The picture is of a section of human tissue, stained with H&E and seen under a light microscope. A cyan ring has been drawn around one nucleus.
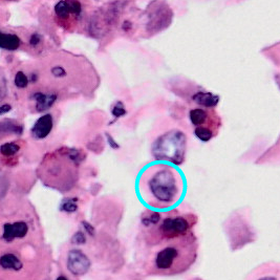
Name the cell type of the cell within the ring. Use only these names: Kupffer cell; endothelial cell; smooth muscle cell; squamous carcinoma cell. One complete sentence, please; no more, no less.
In this section of tissue, the cell within the ring is a squamous carcinoma cell.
